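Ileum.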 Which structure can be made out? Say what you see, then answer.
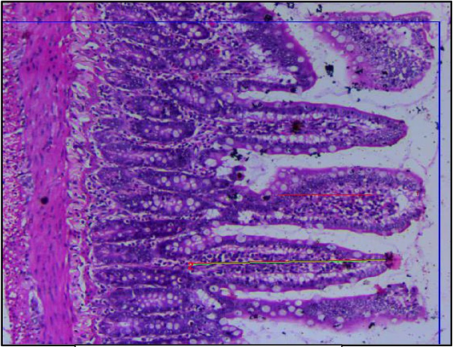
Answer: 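Regular villi and crypts. Slender finger-like projections of mucosa extend in parallel toward the lumen. Tubular glands with pale goblet cells lie at the base of the mucosa near the muscle layer.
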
